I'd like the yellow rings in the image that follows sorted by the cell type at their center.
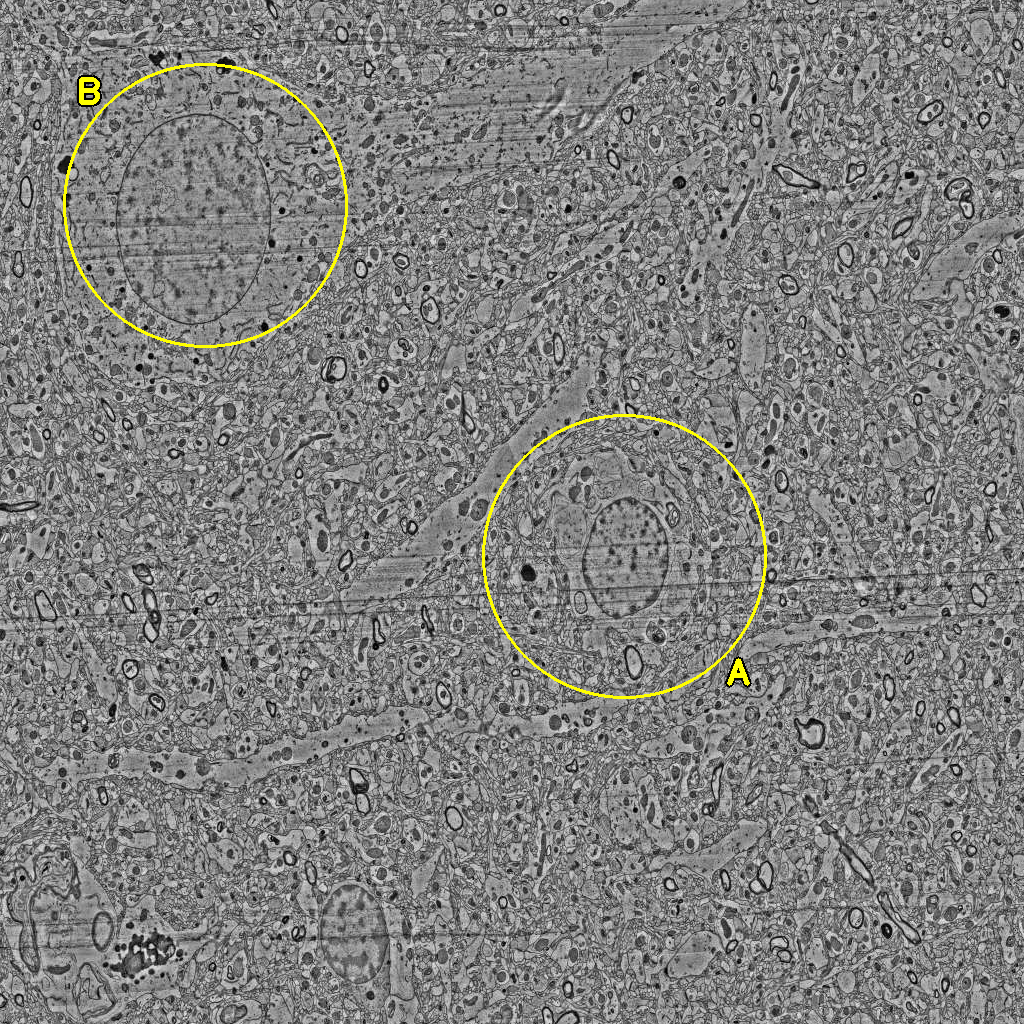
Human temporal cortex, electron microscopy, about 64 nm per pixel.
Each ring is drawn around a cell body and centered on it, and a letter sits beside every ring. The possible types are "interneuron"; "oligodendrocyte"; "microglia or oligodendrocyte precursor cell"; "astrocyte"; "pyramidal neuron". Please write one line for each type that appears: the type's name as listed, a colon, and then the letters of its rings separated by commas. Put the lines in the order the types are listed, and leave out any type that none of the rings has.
astrocyte: A
pyramidal neuron: B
